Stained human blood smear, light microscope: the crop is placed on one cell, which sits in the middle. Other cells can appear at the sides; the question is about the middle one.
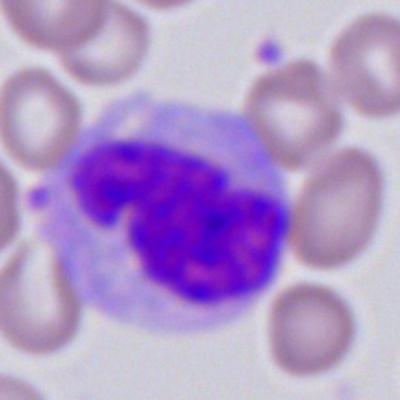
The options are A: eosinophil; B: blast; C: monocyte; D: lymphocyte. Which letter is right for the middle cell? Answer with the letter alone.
C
